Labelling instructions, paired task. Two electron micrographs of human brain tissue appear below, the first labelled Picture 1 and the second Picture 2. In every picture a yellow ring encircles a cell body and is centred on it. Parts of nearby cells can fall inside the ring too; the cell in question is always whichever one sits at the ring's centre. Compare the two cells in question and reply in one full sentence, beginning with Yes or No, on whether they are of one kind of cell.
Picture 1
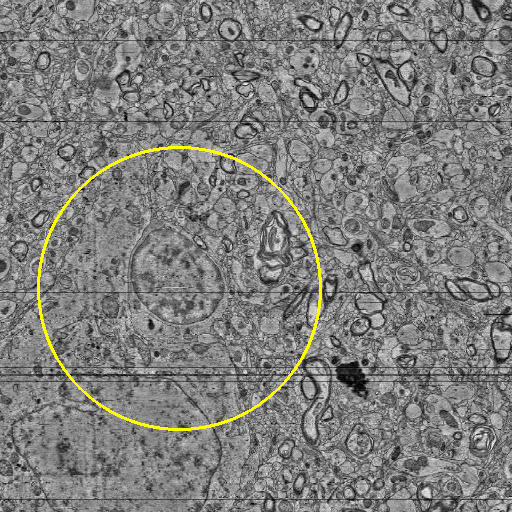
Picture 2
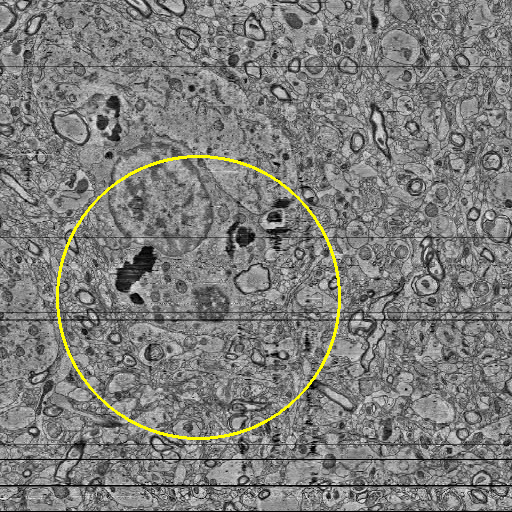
Yes, the two cells at the ring centres in Picture 1 and Picture 2 are of one kind.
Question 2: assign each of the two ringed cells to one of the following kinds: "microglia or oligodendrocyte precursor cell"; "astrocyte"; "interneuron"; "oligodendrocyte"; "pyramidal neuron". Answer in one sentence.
Each of the two rings surrounds an oligodendrocyte.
